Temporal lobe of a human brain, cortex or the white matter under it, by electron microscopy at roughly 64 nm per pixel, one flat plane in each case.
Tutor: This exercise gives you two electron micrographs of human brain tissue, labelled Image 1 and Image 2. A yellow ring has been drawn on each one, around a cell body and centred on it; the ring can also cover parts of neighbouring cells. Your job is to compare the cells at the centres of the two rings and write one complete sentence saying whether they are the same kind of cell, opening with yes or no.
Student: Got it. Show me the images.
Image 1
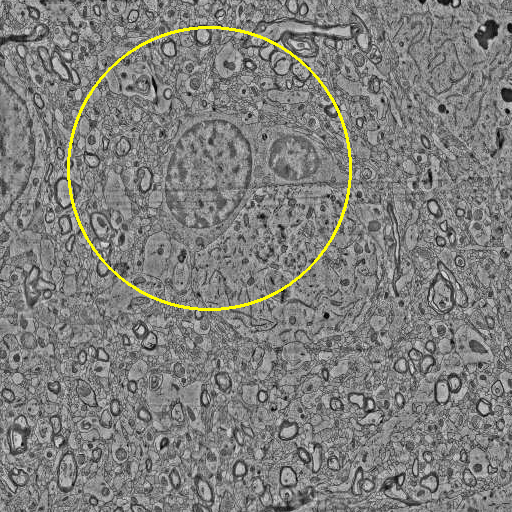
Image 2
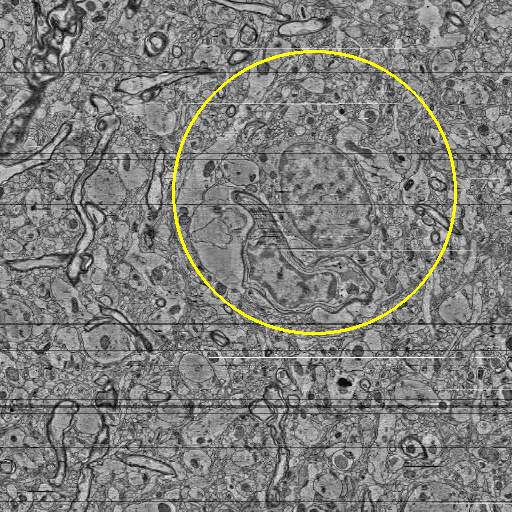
Yes, the two cells belong to the same kind.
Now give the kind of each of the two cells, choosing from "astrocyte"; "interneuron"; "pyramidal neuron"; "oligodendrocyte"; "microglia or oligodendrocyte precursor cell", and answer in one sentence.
Each of the two pictures has an oligodendrocyte at the ring centre.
